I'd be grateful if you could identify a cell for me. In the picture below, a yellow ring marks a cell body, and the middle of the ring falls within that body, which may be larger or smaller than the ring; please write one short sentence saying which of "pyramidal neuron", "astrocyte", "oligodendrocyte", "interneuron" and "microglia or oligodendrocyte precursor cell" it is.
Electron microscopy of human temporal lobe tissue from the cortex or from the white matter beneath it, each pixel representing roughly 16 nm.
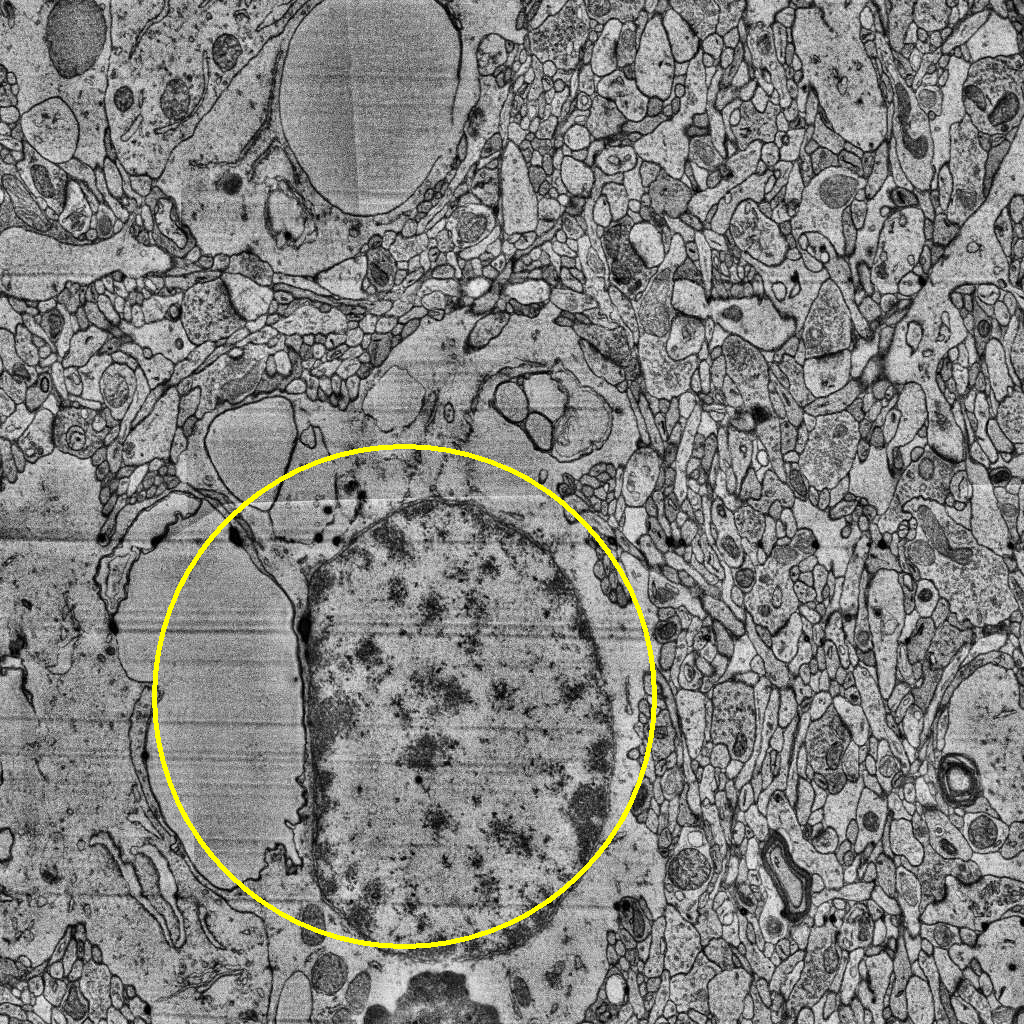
The cell under the ring's centre is an astrocyte.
